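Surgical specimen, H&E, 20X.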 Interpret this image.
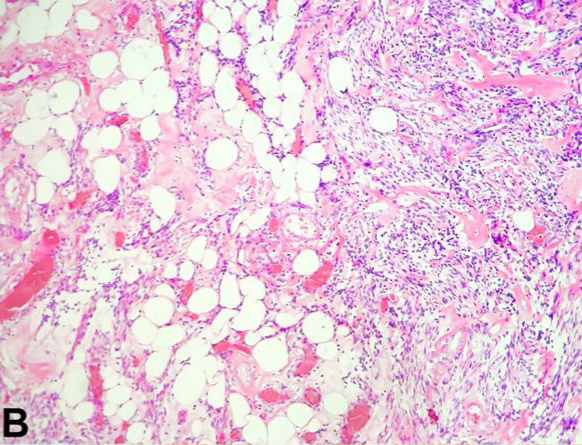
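Section shows clusters of mature adipose tissue interspersed among spindle cell tissue. Bright red, congested vessels run between the fat cells. To one side lies denser tissue with spindle-shaped cells and purple nuclei. Fat and cellular areas merge without a sharp border.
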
